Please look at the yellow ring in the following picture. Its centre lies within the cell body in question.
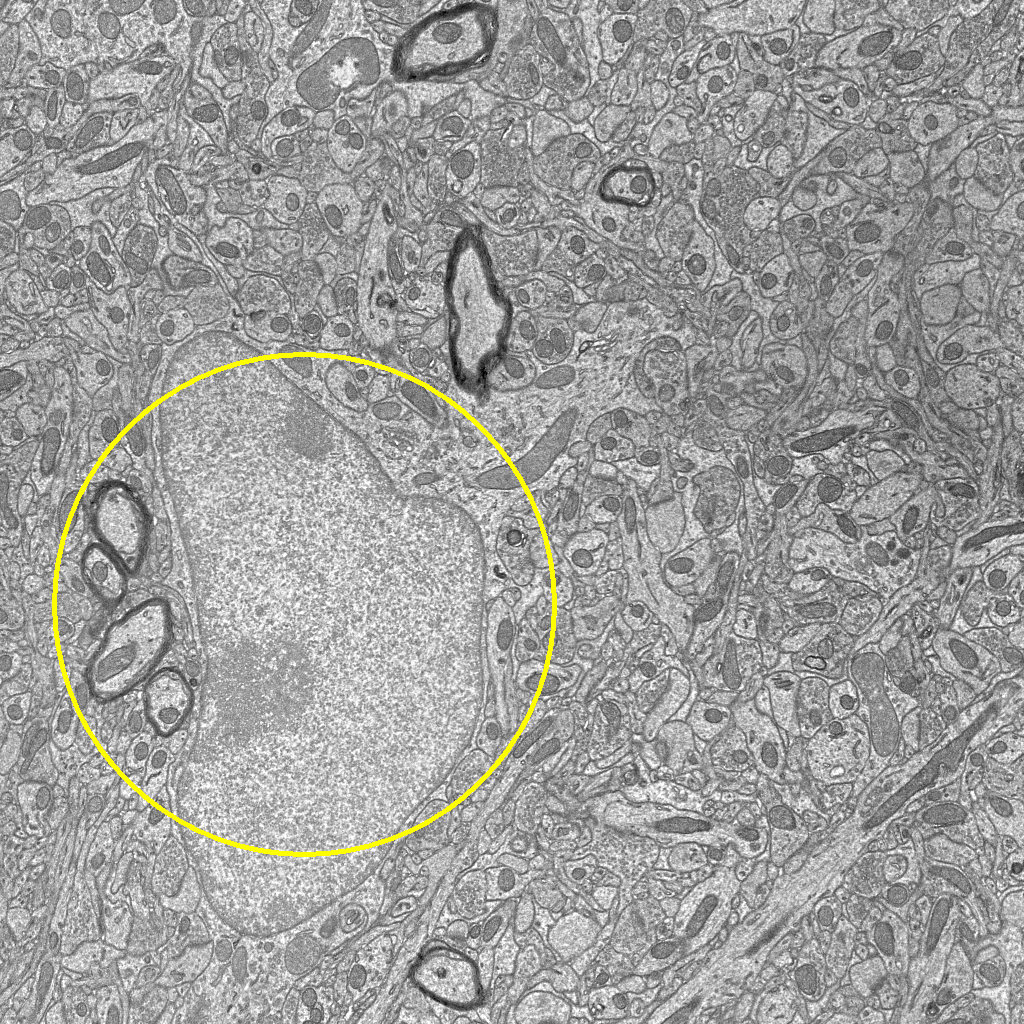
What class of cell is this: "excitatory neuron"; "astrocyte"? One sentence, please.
The centre of the ring lies in the cell body of an astrocyte.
